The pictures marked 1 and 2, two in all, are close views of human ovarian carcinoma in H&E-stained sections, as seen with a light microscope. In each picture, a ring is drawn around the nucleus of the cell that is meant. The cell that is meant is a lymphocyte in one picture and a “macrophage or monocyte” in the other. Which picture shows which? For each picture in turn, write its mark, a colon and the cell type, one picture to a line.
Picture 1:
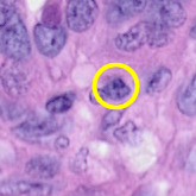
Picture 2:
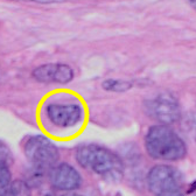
1: lymphocyte
2: macrophage or monocyte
